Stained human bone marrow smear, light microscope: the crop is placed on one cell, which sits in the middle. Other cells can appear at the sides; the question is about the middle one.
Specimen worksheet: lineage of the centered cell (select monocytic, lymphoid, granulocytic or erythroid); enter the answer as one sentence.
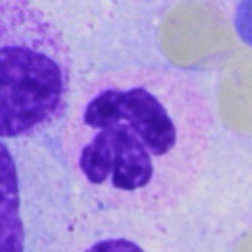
From the granulocytic lineage comes the cell in the middle of the crop.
